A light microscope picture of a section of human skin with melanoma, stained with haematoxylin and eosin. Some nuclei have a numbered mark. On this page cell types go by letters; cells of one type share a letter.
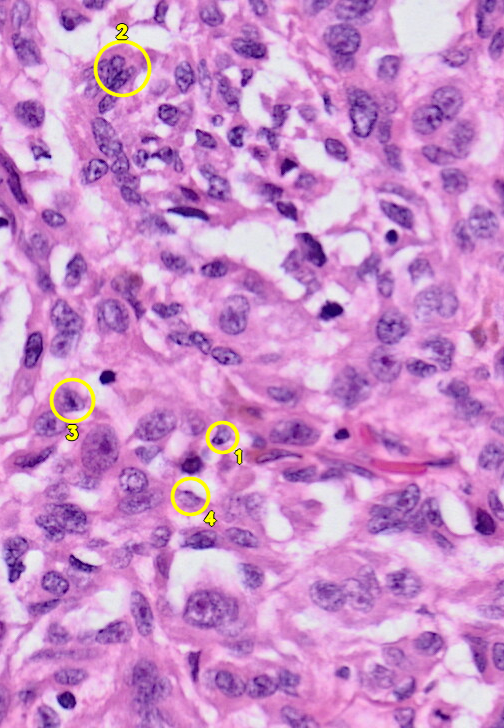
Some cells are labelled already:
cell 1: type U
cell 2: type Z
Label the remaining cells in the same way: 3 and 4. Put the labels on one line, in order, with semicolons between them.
type Z; type Z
